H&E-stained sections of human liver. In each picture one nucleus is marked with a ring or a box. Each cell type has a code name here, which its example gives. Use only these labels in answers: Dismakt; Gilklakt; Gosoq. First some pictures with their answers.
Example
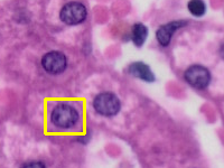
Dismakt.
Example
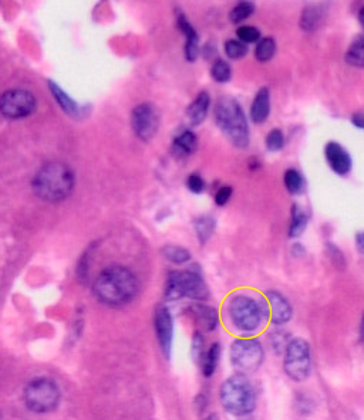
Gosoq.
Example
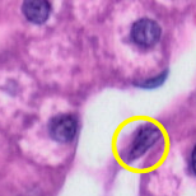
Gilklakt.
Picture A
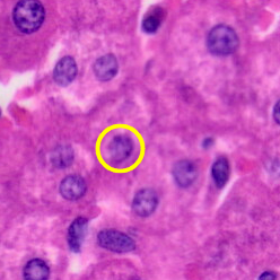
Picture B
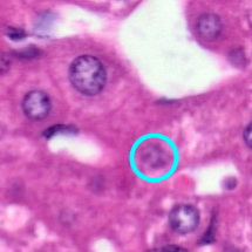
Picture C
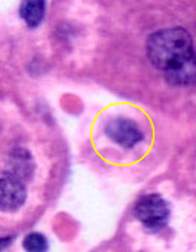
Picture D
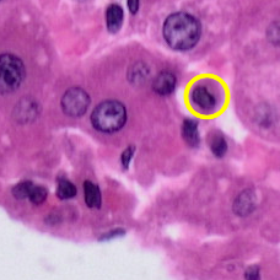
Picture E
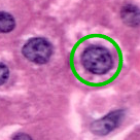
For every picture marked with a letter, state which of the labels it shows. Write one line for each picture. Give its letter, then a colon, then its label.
A: Dismakt.
B: Dismakt.
C: Gilklakt.
D: Gilklakt.
E: Dismakt.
